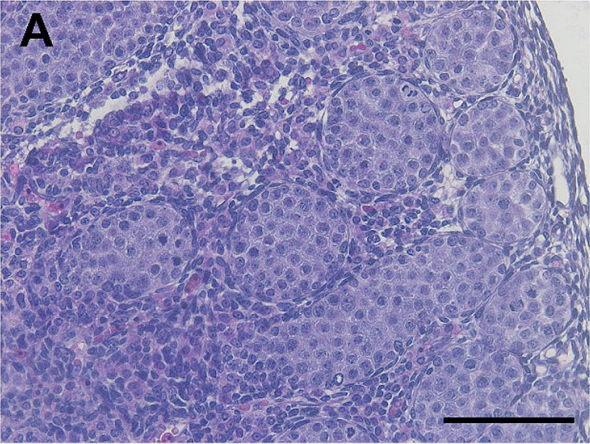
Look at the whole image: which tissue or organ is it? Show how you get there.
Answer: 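Rounded cords of cells separated by densely nucleated interstitial tissue. Cords contain large cells with pale cytoplasm and round nuclei. A thin capsule runs along the right edge.
Answer: testis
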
